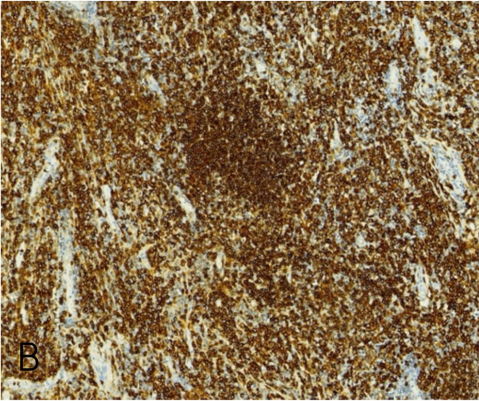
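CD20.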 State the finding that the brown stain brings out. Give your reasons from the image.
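Dense brown stain covers most of the densely packed small cells. Unstained pale strands run between the stained cell sheets.
Conclusion: lymphocytic infiltrates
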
